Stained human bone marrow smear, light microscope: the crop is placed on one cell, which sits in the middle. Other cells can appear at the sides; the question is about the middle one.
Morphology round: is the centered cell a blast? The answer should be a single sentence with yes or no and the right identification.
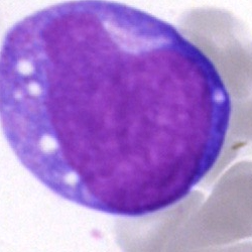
Yes, shown in the middle of the crop is a blast.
